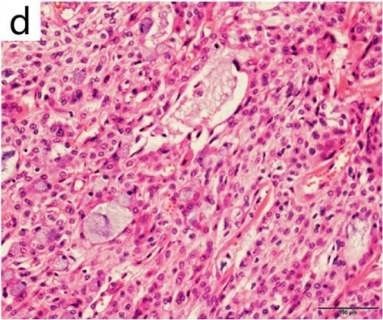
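Tumour cells with pink cytoplasm and fairly uniform round nuclei are arranged around and between rounded and slit-like spaces. Some spaces hold pale, grey-pink mucinous material. The nuclei are relatively regular in size compared with a high-grade tumour, and the cells form cords and small nests separated by thin stroma with vessels.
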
